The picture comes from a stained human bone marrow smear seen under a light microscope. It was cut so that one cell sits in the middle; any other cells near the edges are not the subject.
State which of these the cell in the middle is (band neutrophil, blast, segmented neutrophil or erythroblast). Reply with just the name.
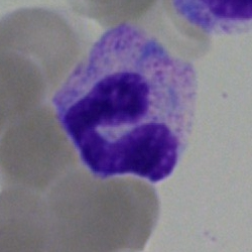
segmented neutrophil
